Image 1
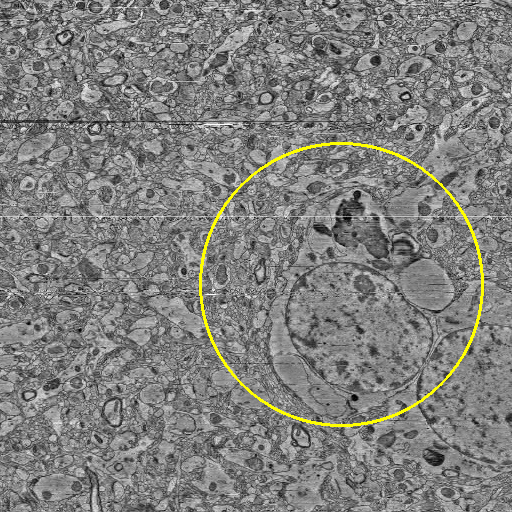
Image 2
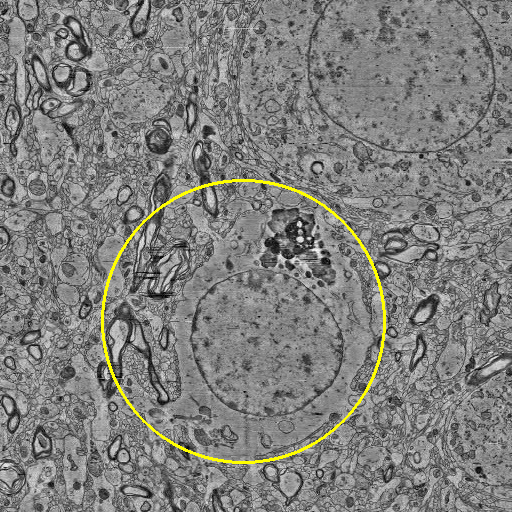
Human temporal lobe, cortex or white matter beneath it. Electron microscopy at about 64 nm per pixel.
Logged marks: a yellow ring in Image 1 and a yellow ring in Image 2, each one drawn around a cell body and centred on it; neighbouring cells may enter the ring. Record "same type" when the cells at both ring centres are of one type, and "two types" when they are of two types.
same type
